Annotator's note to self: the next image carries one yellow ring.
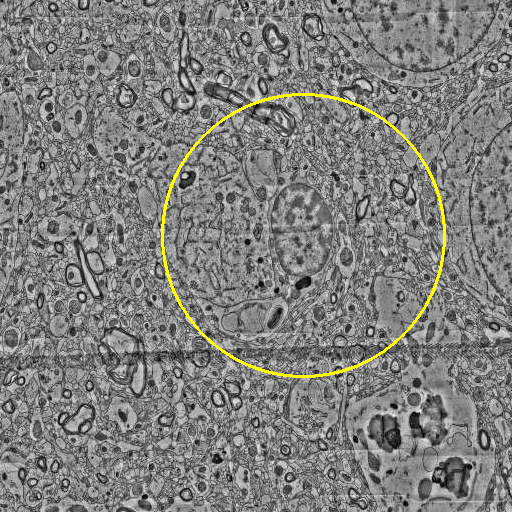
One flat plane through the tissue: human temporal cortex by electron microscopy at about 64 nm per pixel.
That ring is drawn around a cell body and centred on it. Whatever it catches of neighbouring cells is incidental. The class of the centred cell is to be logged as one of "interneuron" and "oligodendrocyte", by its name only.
oligodendrocyte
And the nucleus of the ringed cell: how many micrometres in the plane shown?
The nucleus is approximately 6 micrometers long by 4 micrometers wide in this plane.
